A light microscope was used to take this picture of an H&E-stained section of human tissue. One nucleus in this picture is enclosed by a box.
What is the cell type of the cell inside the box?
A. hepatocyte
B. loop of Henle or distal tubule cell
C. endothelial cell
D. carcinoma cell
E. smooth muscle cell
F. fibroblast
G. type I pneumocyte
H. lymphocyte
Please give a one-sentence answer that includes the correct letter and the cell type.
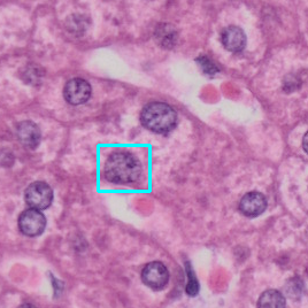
Option A correctly labels the cell inside the box as a hepatocyte.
